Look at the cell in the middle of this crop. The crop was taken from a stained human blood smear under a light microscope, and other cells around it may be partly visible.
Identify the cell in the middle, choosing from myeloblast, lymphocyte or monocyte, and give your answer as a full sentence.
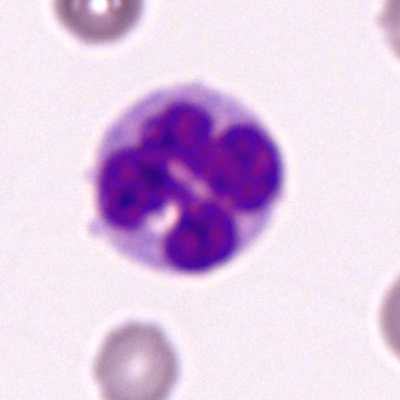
The cell that lies at the centre of the crop is a monocyte.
